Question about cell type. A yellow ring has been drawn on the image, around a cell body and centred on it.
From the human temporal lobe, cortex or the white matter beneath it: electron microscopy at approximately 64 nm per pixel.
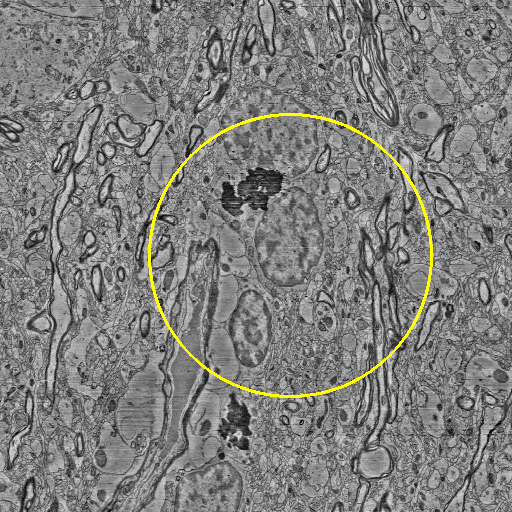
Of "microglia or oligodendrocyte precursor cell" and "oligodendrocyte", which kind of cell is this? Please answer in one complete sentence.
At the centre of the ring lies an oligodendrocyte.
